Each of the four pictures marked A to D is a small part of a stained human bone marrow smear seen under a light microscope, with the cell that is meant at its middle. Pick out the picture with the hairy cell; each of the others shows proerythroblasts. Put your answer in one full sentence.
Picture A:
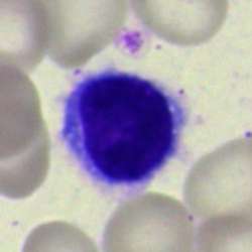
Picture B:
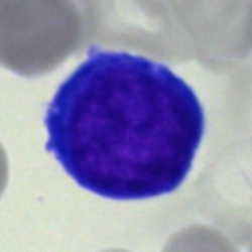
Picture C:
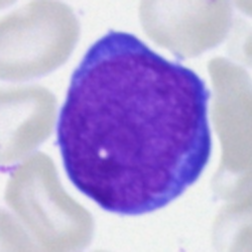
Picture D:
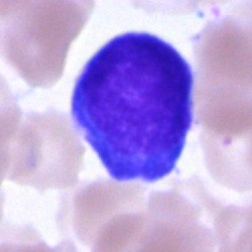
It is picture A that shows the hairy cell.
